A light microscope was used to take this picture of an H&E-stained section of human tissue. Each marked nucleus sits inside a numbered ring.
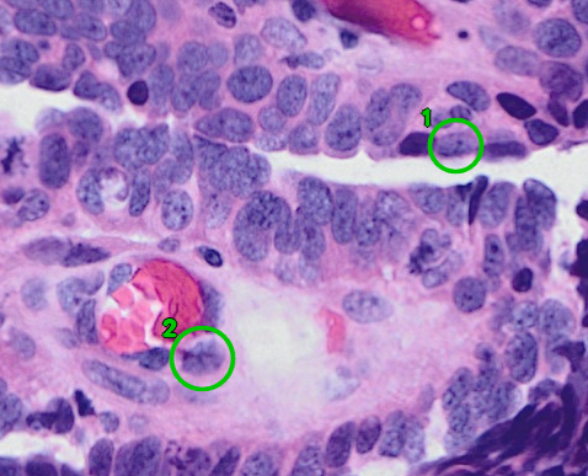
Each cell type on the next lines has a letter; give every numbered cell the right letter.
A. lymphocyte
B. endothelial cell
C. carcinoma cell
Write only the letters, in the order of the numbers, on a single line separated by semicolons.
C; B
